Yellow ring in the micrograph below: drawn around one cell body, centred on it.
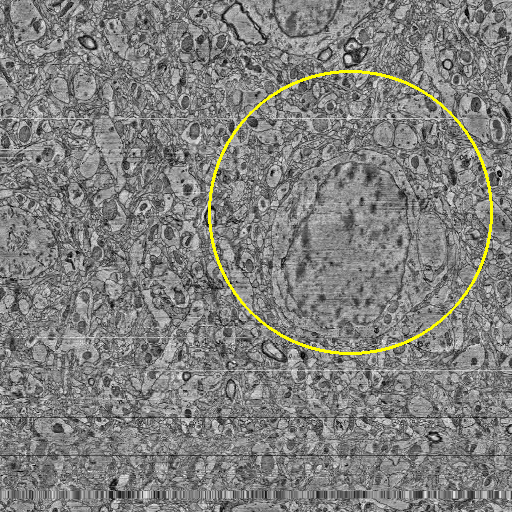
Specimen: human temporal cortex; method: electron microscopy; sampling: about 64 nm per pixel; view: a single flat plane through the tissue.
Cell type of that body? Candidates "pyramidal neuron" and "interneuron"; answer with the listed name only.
interneuron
